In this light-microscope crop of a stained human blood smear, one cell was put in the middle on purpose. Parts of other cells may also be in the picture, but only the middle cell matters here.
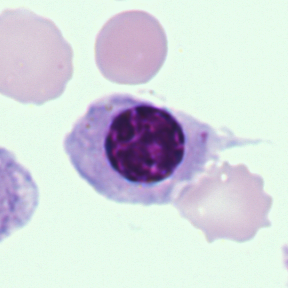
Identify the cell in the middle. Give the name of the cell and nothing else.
normoblast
